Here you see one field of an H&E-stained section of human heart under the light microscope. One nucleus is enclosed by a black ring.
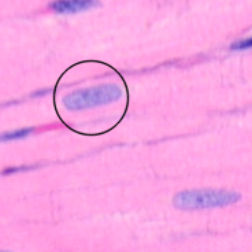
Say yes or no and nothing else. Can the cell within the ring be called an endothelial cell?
no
